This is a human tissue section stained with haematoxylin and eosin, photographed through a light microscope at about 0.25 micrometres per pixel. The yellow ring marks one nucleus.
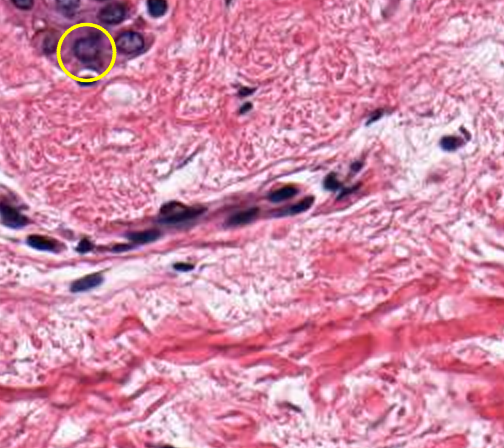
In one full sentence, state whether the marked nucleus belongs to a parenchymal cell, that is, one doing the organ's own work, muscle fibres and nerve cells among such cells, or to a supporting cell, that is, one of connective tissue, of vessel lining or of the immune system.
The marked nucleus corresponds to a parenchymal cell, namely a keratinocyte.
